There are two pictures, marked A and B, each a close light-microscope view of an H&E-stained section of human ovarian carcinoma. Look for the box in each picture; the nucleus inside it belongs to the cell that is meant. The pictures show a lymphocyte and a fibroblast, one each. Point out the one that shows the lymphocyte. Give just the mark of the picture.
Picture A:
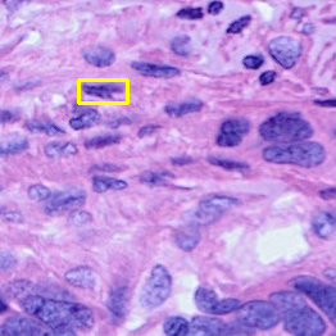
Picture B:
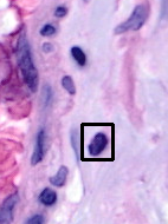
B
